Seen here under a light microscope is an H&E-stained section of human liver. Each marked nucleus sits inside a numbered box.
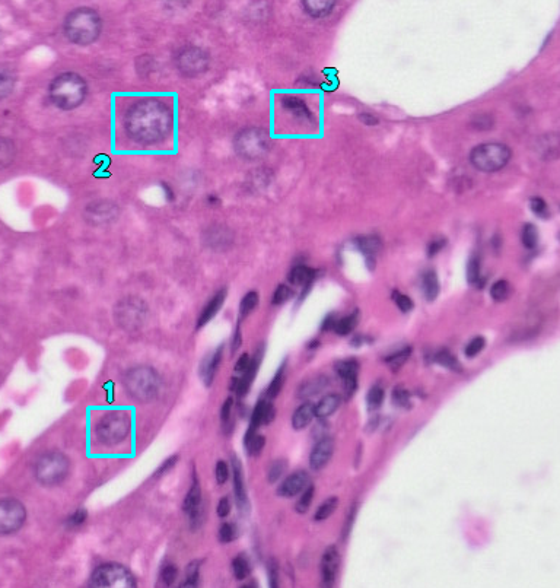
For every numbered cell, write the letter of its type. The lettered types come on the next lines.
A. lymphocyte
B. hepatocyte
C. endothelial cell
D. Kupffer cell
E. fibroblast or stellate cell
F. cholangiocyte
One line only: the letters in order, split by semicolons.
B; B; E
